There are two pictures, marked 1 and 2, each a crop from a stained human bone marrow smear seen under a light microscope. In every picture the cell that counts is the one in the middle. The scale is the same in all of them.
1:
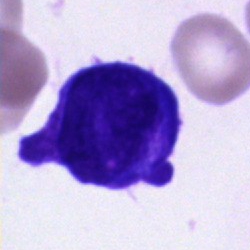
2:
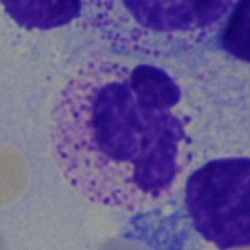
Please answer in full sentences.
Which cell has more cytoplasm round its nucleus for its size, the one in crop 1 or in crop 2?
The nucleus fills less of the cell in crop 2 than in crop 1.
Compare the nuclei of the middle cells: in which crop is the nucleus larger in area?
Crop 1 shows the larger nucleus; it covers about 1.5 times the area of the nucleus in crop 2.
